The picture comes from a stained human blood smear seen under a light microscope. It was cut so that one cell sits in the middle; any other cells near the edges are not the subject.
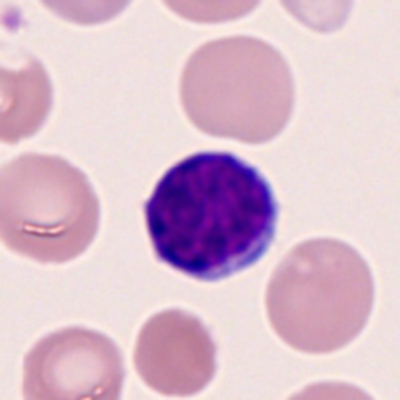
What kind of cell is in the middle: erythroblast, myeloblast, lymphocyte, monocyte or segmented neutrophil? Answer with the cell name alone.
lymphocyte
